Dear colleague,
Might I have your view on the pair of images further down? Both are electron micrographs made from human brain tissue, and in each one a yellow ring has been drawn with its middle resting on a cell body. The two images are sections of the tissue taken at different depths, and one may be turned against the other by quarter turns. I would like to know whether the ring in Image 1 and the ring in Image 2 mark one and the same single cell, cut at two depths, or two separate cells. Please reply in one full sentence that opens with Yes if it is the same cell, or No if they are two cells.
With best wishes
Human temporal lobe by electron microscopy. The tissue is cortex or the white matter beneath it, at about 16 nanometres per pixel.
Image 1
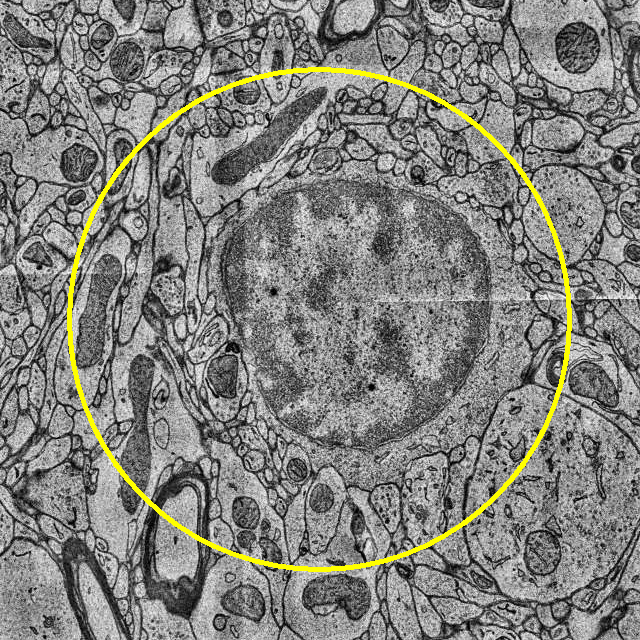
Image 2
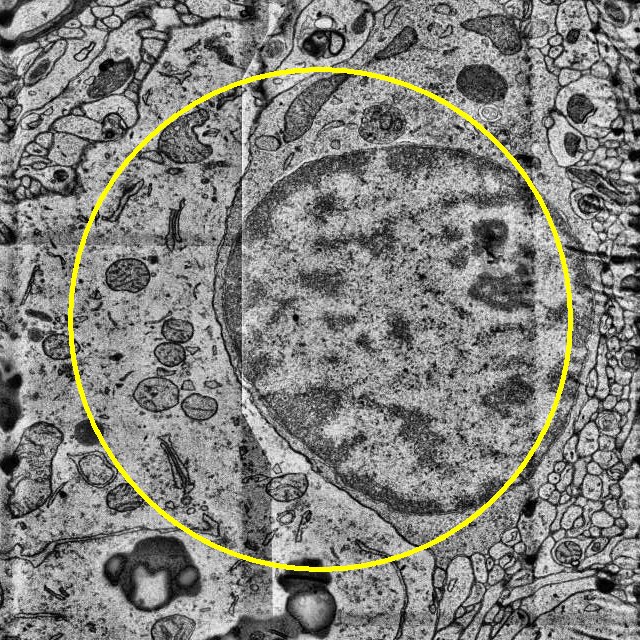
Yes, the two marked outlines come from one and the same cell.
